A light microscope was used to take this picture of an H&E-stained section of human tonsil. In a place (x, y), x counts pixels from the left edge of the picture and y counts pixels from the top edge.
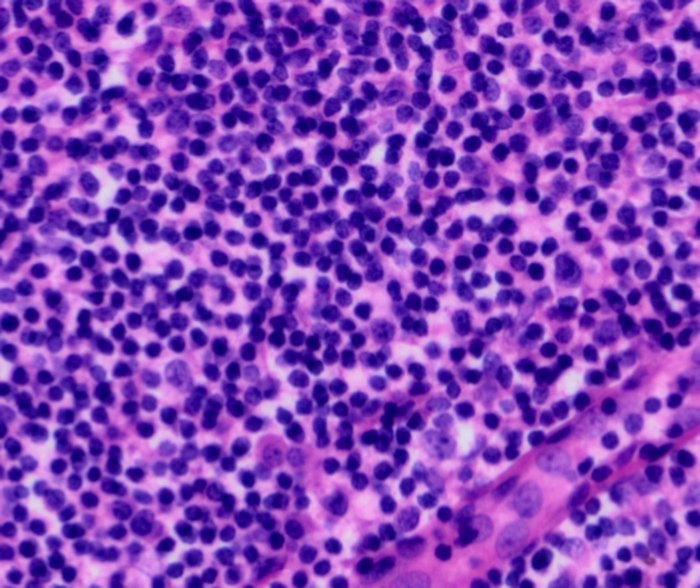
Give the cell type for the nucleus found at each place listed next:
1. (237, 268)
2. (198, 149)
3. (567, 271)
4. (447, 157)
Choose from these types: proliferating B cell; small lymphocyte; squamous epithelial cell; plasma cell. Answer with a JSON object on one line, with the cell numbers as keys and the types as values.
{"1": "small lymphocyte", "2": "small lymphocyte", "3": "proliferating B cell", "4": "small lymphocyte"}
